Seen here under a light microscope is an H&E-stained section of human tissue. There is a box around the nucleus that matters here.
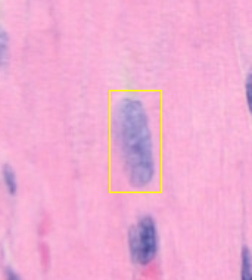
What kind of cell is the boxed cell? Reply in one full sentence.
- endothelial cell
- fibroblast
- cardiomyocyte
In this field of tissue, the boxed cell is a cardiomyocyte.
